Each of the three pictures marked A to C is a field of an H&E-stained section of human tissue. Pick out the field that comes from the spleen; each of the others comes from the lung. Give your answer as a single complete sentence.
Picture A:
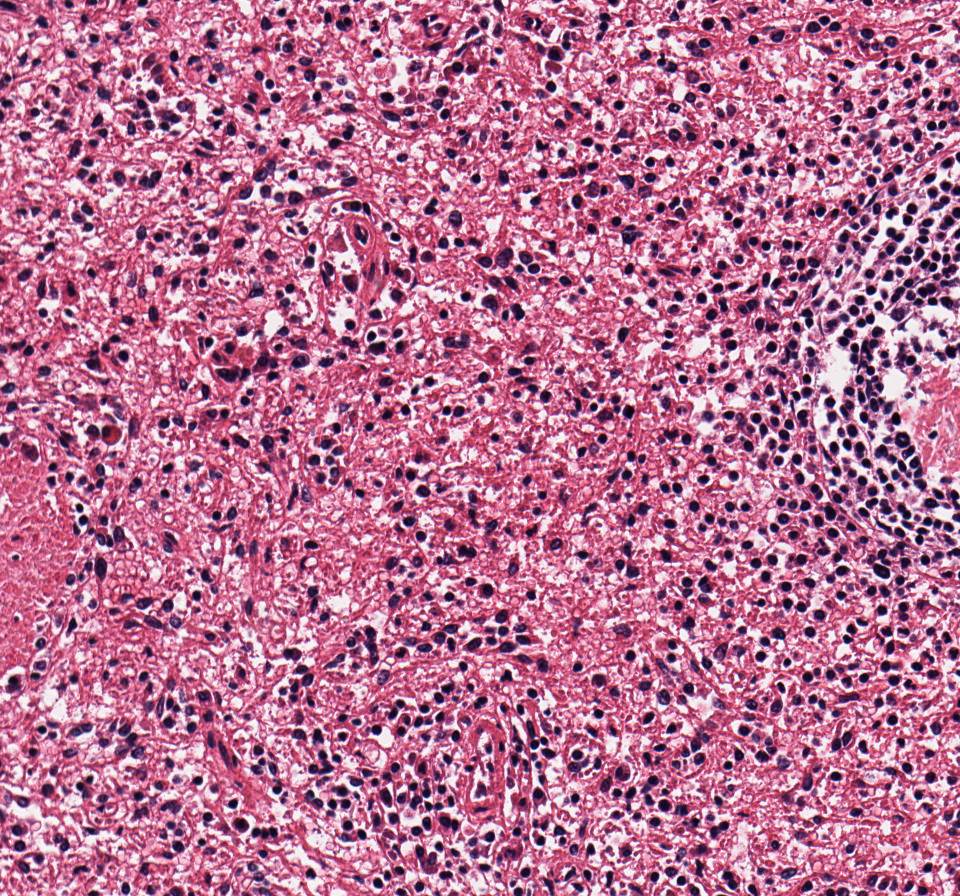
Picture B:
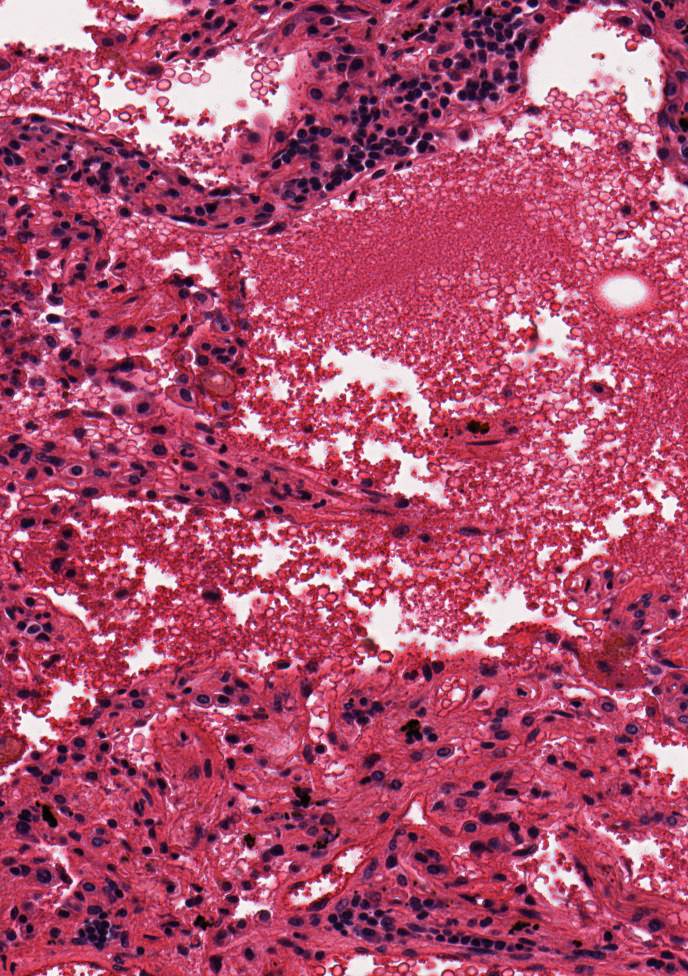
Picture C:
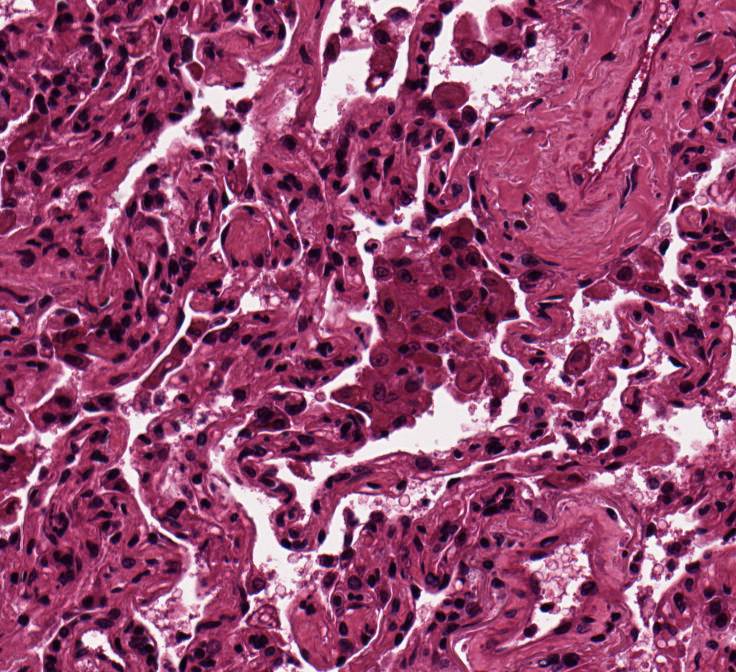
Picture A comes from the spleen.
